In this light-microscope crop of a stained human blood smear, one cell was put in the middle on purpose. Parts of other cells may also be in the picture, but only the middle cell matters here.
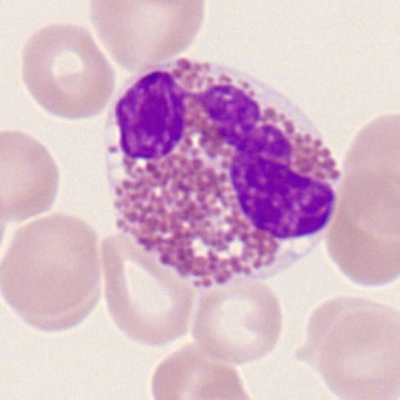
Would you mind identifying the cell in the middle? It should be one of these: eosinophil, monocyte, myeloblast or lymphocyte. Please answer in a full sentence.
By classification, the middle cell of this crop is an eosinophil.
